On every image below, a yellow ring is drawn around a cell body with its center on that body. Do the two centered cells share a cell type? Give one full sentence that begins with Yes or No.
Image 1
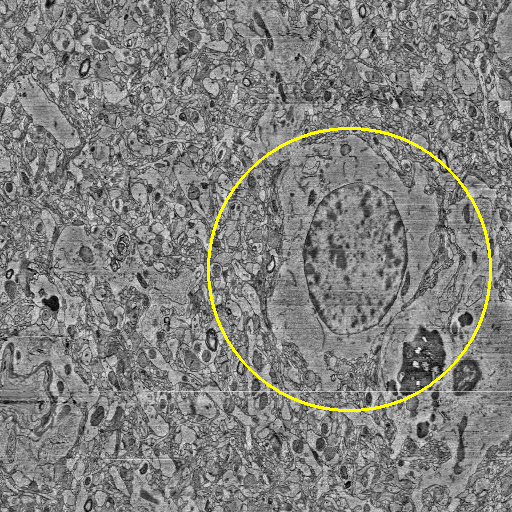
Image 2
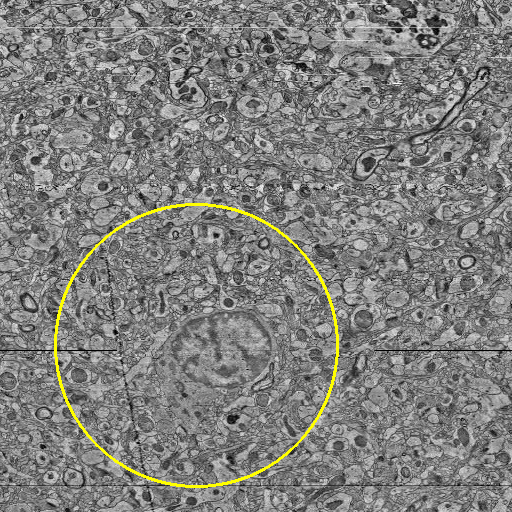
No, the centered cells in the two images are of two separate cell types.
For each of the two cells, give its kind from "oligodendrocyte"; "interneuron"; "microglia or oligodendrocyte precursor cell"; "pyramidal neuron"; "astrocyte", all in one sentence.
The first picture has an astrocyte in its ring, the second has an oligodendrocyte.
